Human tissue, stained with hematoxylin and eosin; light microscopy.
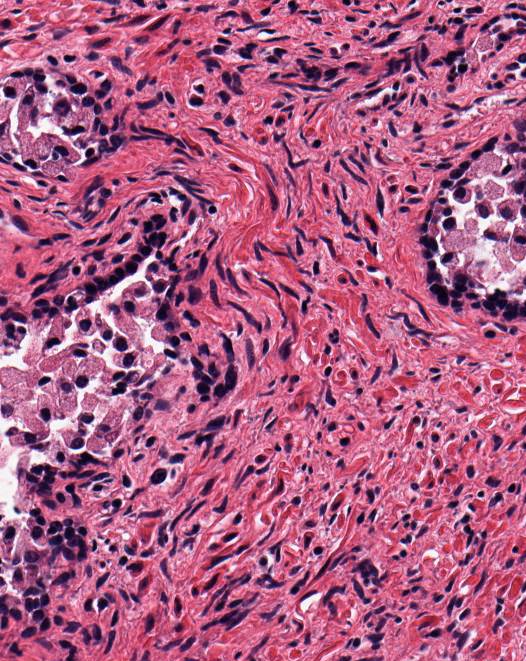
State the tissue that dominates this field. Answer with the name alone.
fibromuscular stroma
